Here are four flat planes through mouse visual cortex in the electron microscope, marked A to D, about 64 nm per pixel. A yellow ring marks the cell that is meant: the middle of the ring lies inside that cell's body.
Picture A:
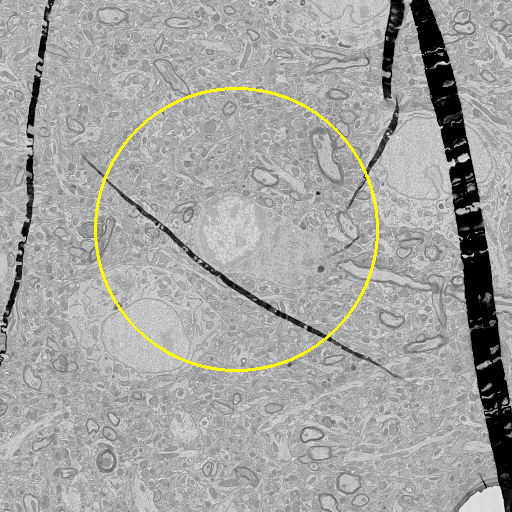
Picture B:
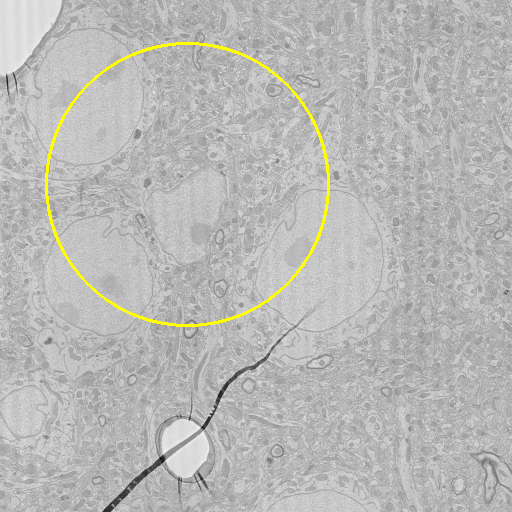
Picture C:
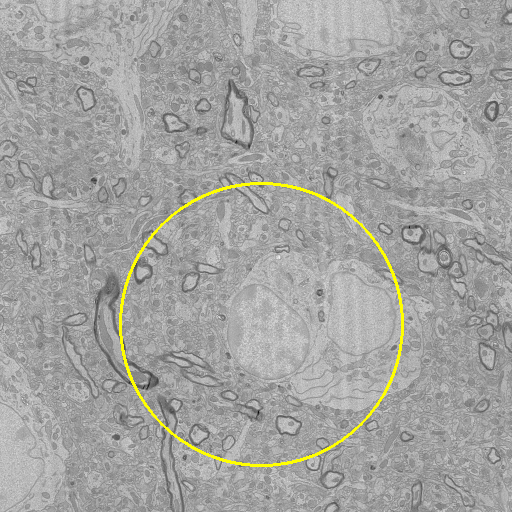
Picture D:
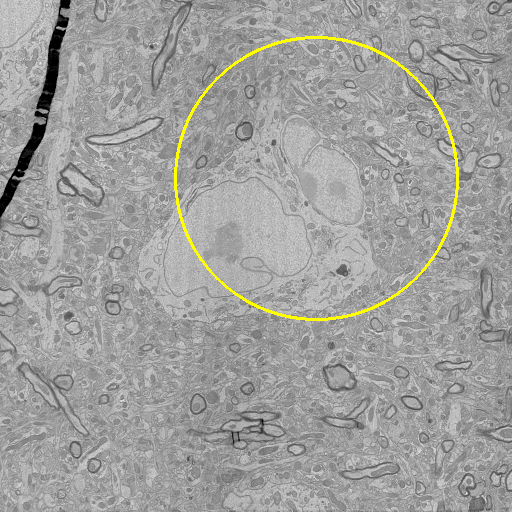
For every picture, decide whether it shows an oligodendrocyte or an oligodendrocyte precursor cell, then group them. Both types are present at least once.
Pictures A and C show oligodendrocytes; pictures B and D show oligodendrocyte precursor cells.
